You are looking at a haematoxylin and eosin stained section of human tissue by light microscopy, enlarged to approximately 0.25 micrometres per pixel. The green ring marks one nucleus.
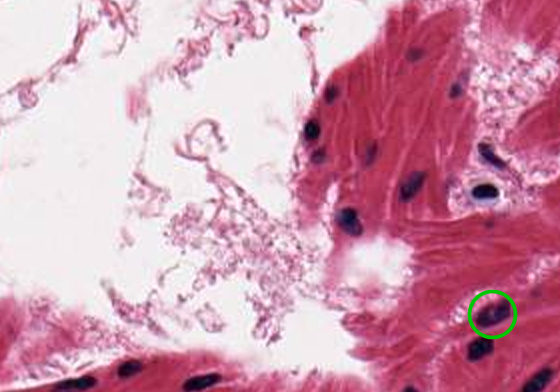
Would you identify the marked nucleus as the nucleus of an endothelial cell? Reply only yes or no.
no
